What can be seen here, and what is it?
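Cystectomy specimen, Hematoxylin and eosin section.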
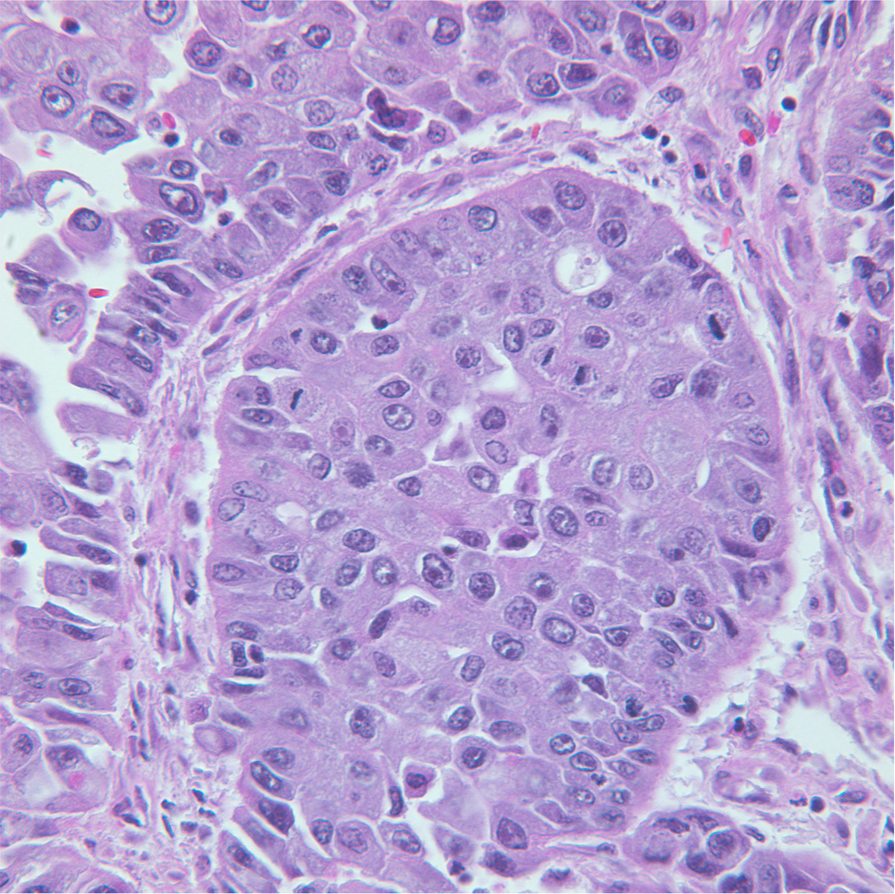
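Poorly differentiated high-grade transitional cell carcinoma forms solid nests of crowded, polygonal tumour cells. A large rounded nest in the centre is rimmed by a thin band of pink fibrous stroma containing scattered small dark cells and a few red blood cells. The tumour cells have moderate amounts of pink-purple cytoplasm and large, round to oval nuclei with open chromatin and distinct nucleoli. Nuclear size and shape vary from cell to cell, and some nuclei are dark and irregular. The cells are arranged haphazardly, without orderly layering, and small clefts and spaces lie between them.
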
